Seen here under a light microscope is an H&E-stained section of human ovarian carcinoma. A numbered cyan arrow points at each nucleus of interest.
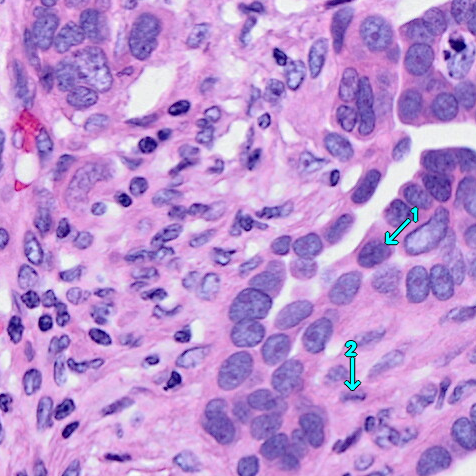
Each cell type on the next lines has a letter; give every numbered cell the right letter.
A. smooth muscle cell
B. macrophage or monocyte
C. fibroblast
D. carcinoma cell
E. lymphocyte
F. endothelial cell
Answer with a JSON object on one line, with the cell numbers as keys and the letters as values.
{"1": "D", "2": "C"}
